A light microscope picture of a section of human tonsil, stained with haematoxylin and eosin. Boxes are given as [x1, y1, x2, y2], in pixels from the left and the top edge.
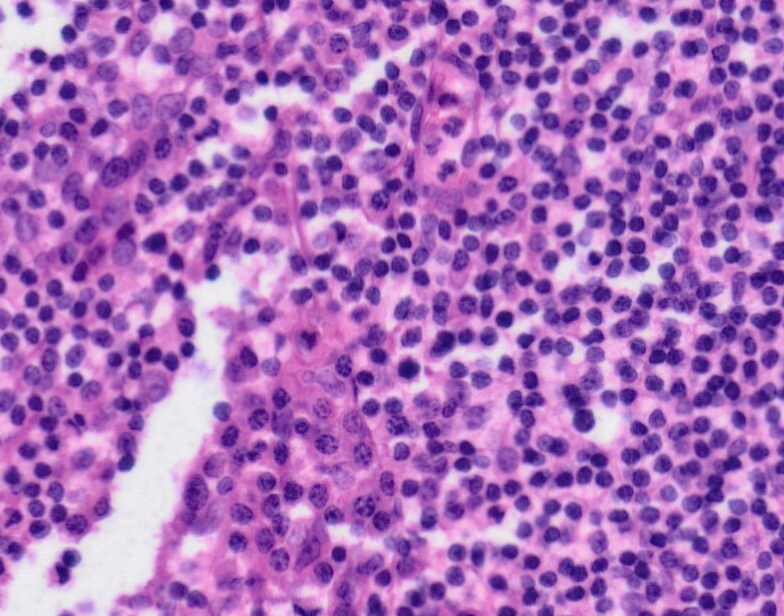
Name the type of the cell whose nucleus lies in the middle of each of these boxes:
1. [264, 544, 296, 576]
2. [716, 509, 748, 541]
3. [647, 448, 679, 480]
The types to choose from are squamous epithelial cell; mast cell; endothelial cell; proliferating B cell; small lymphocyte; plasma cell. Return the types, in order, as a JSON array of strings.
["plasma cell", "small lymphocyte", "small lymphocyte"]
